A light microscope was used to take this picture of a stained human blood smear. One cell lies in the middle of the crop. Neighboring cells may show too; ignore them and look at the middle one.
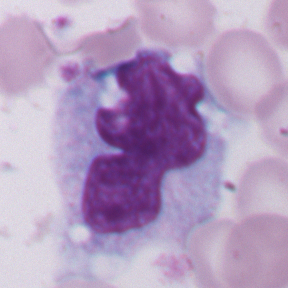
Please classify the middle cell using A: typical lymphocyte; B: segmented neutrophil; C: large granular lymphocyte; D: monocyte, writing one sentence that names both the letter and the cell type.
What option D states is correct, the central cell being a monocyte.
